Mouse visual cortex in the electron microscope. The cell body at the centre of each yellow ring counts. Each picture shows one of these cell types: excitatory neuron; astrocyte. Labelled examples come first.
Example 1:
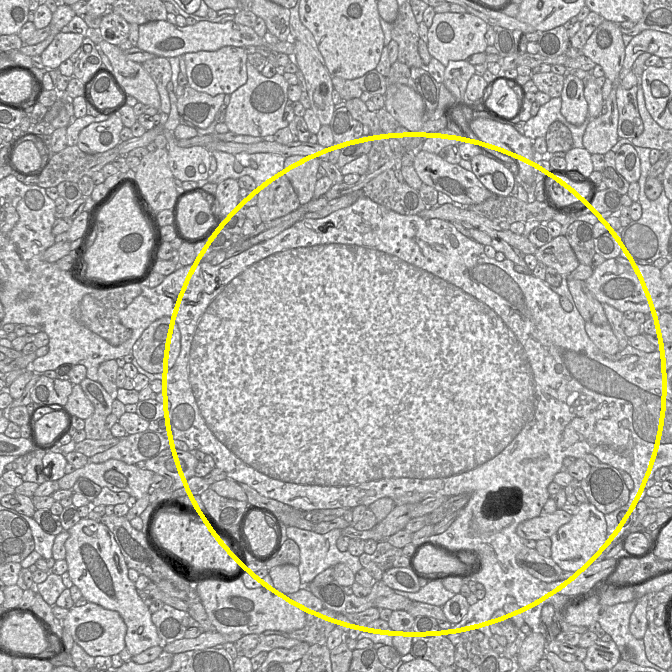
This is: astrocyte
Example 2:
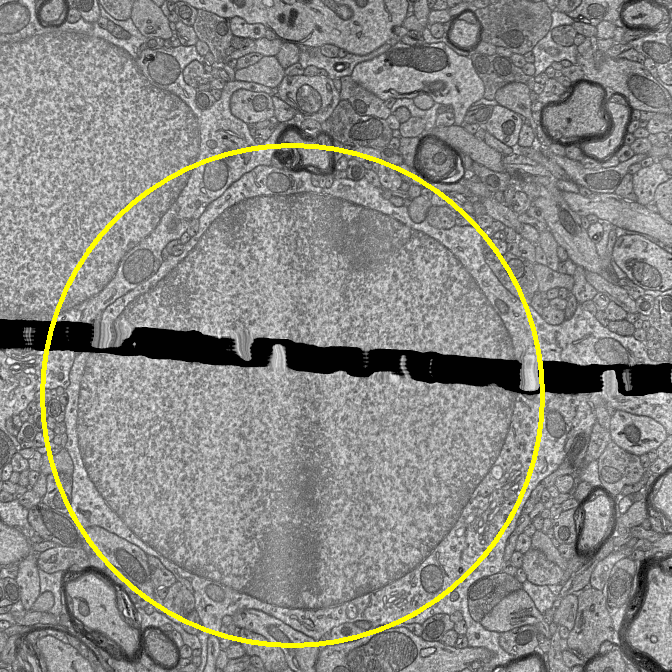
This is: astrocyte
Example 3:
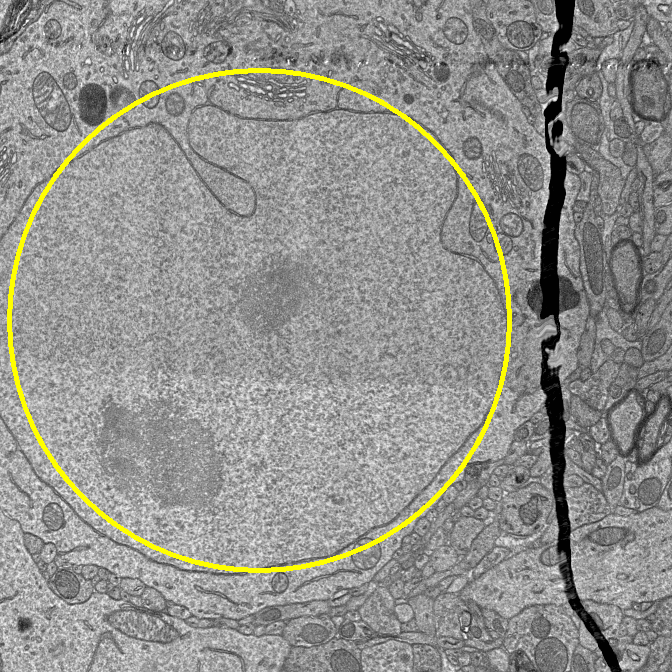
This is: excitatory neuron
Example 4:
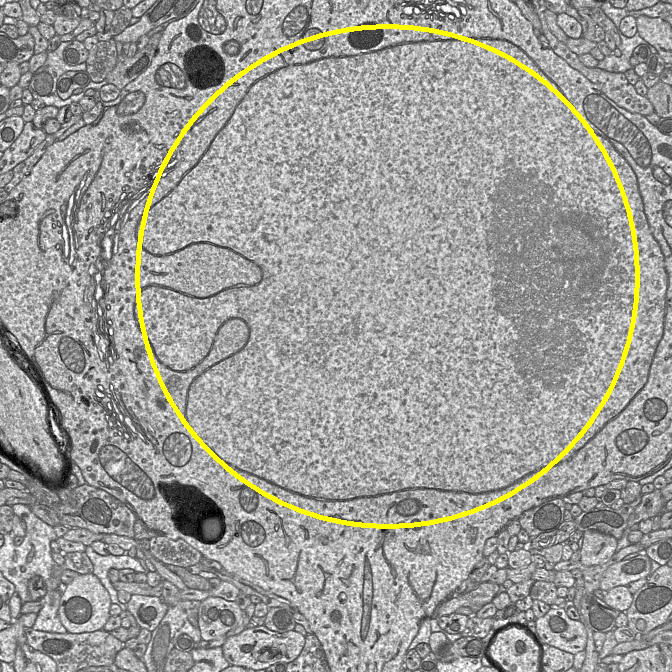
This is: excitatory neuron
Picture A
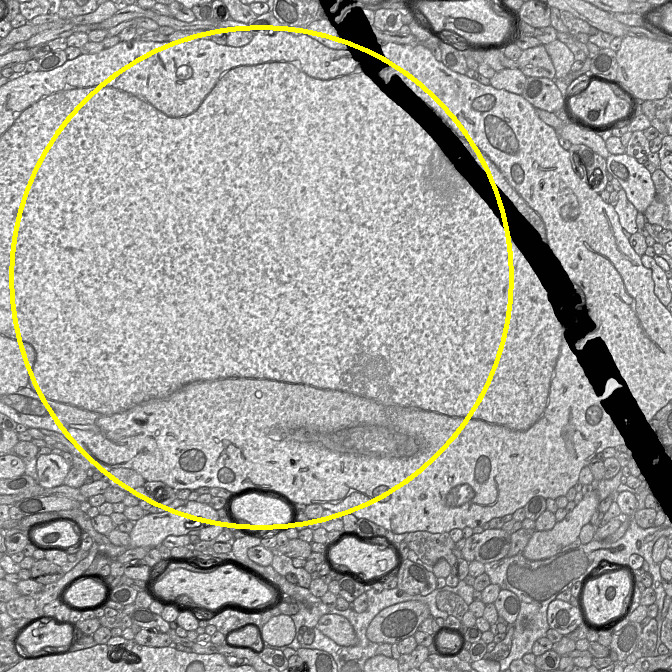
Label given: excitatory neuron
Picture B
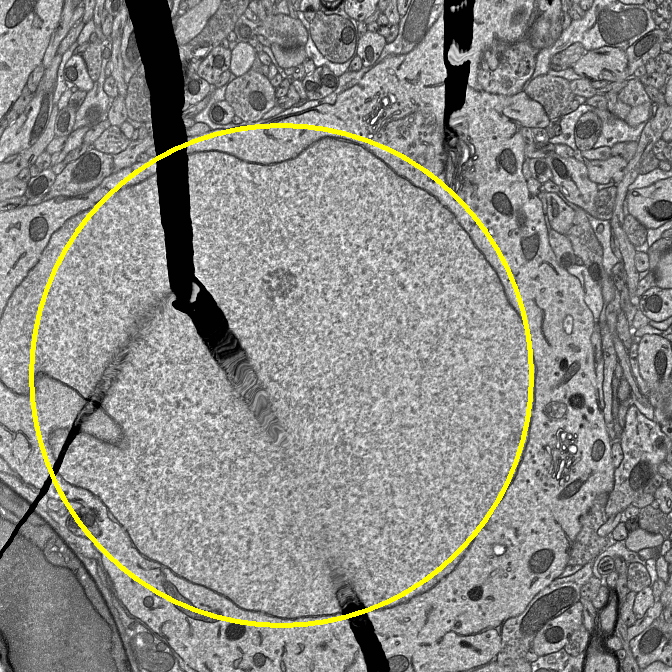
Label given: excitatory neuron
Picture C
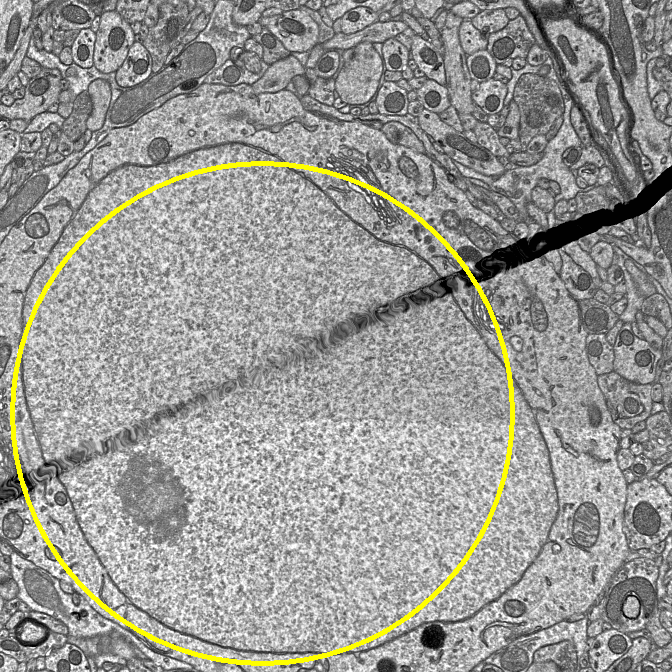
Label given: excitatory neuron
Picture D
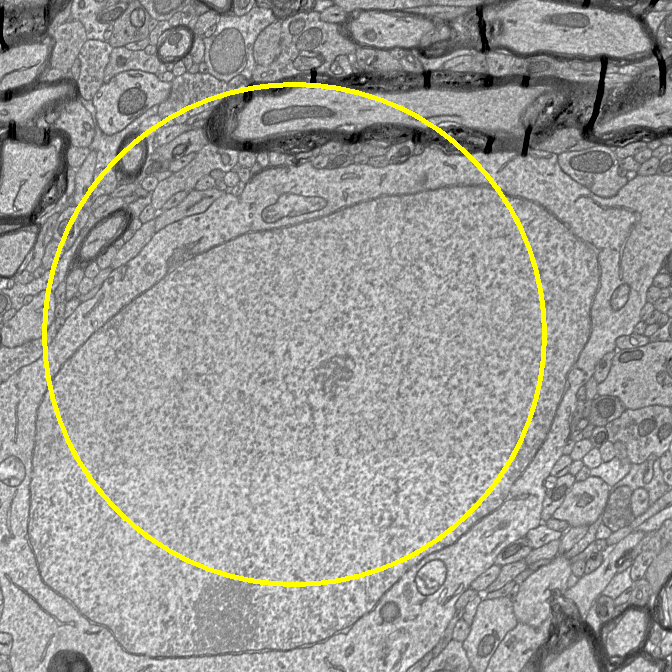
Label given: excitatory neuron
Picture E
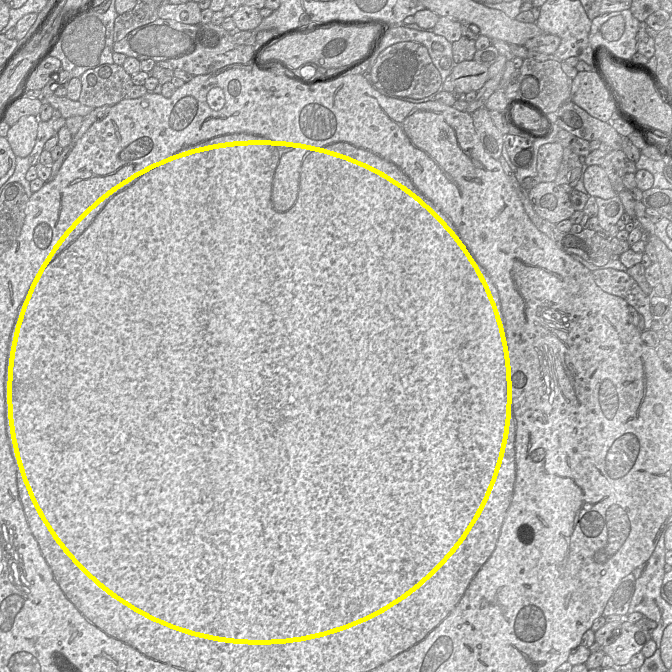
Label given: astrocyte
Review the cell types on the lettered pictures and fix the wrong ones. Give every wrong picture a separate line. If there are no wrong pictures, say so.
E: change astrocyte to excitatory neuron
